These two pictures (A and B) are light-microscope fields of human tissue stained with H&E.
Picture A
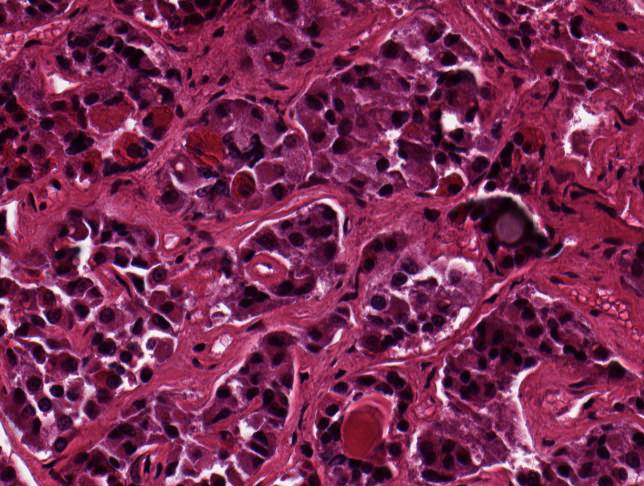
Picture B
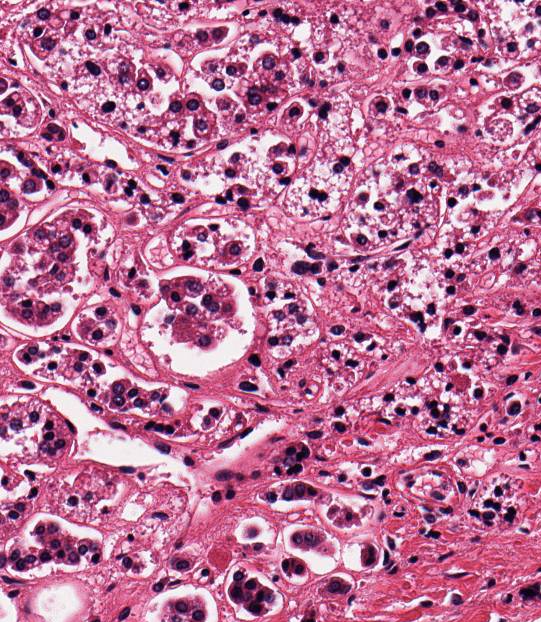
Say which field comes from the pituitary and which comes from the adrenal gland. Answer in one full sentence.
It is picture A that comes from the pituitary, and picture B that comes from the adrenal gland.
